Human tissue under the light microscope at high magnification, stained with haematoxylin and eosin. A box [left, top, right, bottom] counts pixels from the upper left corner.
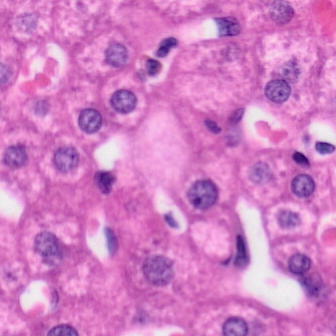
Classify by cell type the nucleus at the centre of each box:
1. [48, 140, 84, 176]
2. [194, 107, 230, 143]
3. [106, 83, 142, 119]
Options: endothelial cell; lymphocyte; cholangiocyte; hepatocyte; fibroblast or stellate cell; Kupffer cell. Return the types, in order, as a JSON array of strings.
["hepatocyte", "fibroblast or stellate cell", "hepatocyte"]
